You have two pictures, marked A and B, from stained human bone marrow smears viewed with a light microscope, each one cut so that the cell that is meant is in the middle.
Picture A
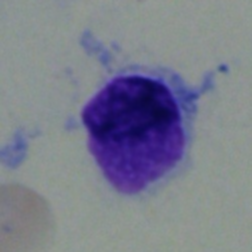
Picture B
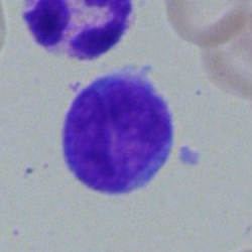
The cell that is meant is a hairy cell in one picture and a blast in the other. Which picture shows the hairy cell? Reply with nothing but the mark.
A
